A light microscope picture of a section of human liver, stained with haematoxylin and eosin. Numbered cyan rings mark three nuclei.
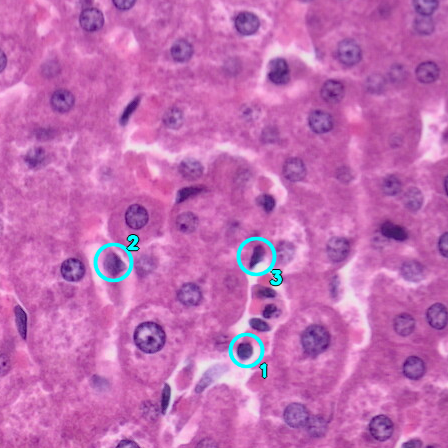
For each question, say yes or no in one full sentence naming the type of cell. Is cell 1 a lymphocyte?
Yes, regarding cell number 1, it is a lymphocyte.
